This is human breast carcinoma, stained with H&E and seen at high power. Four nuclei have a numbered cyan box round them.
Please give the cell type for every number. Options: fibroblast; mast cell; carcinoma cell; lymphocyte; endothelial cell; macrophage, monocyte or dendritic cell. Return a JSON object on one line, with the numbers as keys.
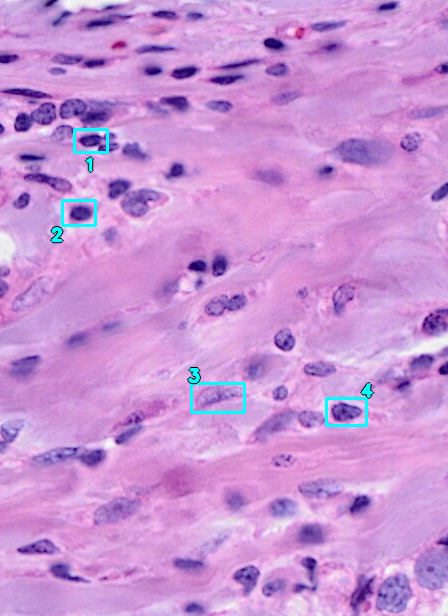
{"1": "lymphocyte", "2": "lymphocyte", "3": "fibroblast", "4": "lymphocyte"}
